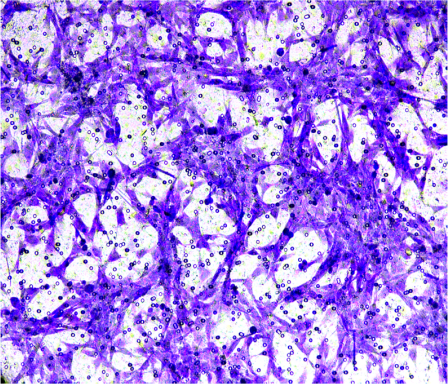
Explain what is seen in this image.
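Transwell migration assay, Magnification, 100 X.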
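The cells are elongated, spindle-shaped to stellate, with slender tapering processes, and they lie densely across the field. Their processes touch and overlap, forming an interconnected network that encloses rounded, cell-free spaces in which the pores are visible. Darker violet spots mark nuclei, and in places several cells pile up. The paler violet cytoplasm spreads thinly at the cell edges. No round, free-floating cells are seen.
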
